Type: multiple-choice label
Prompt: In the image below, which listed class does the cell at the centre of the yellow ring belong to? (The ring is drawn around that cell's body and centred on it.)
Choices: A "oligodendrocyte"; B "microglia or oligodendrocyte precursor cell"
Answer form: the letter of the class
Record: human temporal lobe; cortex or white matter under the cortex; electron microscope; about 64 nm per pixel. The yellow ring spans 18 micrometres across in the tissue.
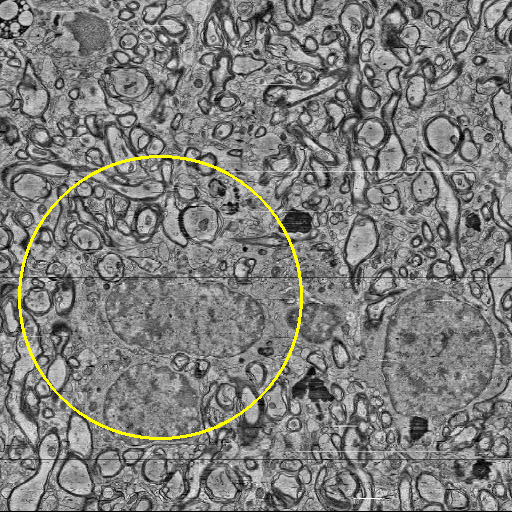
A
